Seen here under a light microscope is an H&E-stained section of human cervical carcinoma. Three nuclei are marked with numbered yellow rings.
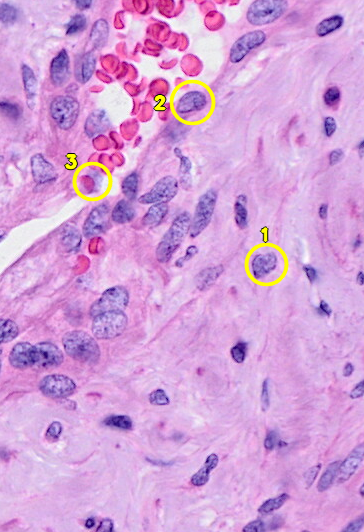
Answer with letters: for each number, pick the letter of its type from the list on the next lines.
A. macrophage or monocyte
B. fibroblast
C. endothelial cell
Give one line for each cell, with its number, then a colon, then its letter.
1: B
2: C
3: C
